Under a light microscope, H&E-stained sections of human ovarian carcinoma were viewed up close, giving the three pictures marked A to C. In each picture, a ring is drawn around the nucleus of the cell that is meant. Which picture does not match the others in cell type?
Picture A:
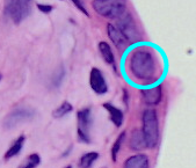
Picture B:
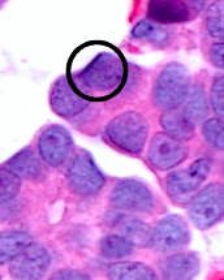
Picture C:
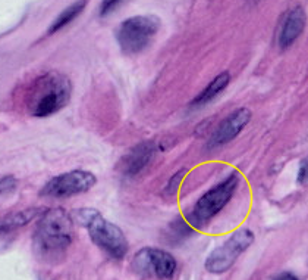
C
